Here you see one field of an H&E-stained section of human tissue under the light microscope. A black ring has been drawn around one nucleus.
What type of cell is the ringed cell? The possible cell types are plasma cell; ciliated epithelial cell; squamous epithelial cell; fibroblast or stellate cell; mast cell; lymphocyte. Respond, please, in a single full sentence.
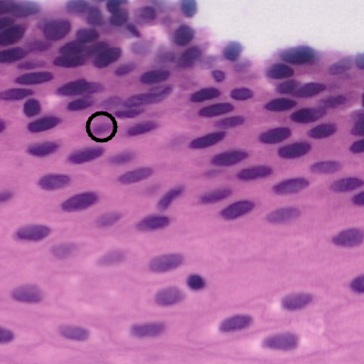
In this section, the ringed cell is a squamous epithelial cell.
